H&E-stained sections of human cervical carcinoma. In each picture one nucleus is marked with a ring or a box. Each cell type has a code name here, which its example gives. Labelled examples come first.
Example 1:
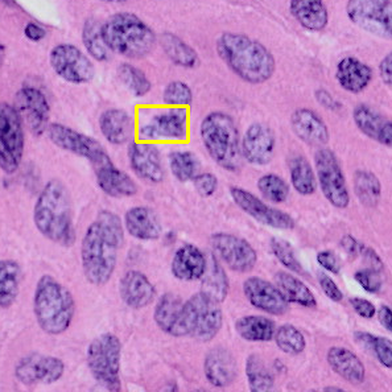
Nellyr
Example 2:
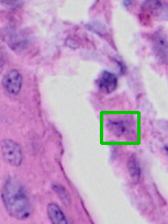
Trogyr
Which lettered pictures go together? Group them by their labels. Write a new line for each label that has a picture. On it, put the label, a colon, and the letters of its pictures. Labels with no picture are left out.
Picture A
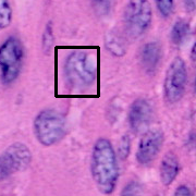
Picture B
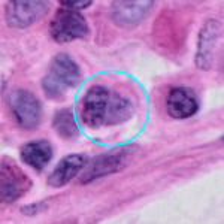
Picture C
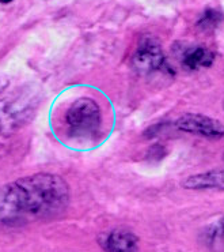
Nellyr: A
Trogyr: B, C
